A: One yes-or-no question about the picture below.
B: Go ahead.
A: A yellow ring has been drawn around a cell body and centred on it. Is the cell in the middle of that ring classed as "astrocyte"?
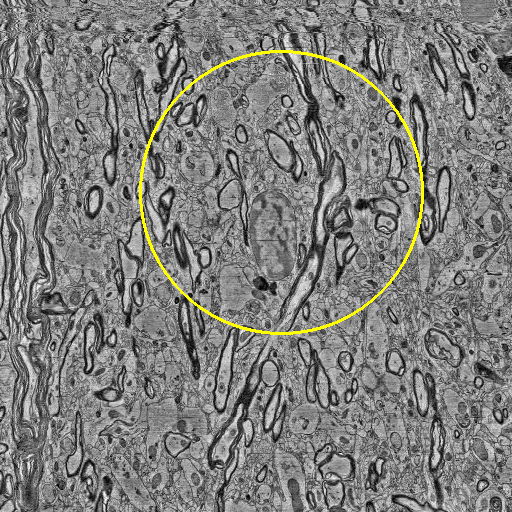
No, it is classed as another kind.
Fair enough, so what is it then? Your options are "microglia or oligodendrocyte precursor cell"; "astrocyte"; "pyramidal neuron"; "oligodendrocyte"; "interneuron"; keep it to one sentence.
The cell shown in the ring is a microglial cell or oligodendrocyte precursor cell.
